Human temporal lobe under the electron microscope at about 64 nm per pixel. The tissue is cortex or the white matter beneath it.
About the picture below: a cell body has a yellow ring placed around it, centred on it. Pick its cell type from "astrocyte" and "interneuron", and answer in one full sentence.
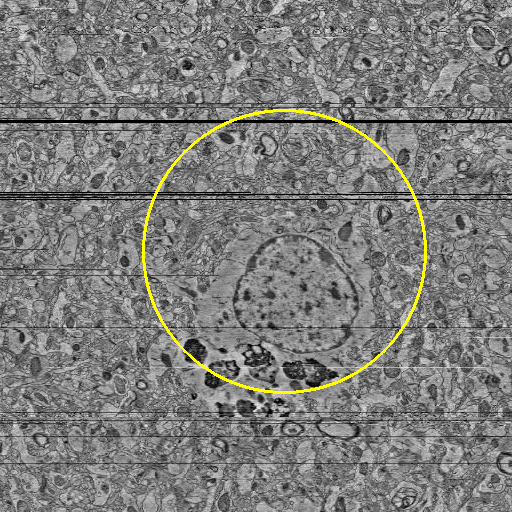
In the picture, an astrocyte is the cell sitting at the centre of the yellow ring.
